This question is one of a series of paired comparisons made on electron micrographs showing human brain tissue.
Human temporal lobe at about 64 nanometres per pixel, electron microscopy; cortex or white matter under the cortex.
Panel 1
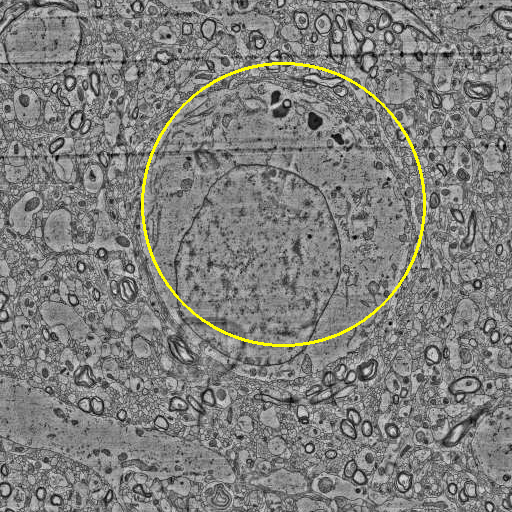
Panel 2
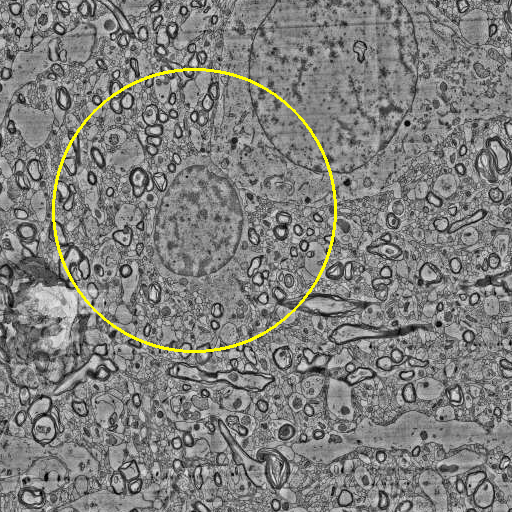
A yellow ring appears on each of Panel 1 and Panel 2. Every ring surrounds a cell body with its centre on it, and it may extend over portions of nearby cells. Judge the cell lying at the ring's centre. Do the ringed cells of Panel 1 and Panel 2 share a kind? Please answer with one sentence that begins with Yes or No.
No, the ring-centre cell in Panel 1 and the one in Panel 2 are of two kinds.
